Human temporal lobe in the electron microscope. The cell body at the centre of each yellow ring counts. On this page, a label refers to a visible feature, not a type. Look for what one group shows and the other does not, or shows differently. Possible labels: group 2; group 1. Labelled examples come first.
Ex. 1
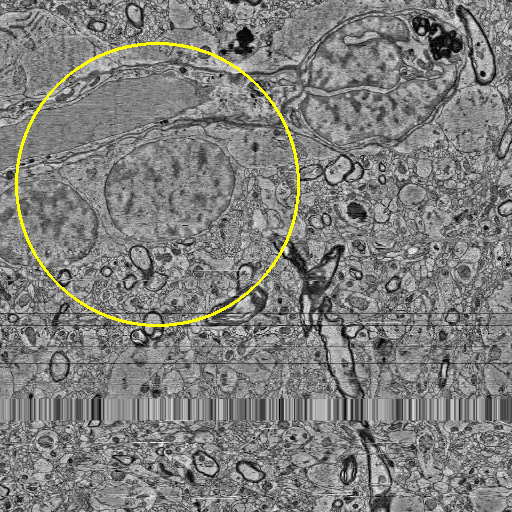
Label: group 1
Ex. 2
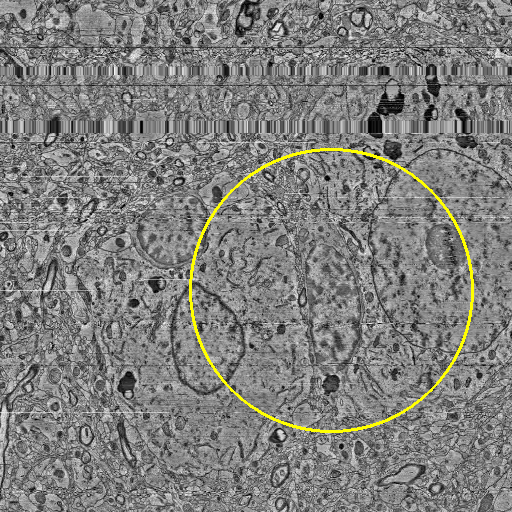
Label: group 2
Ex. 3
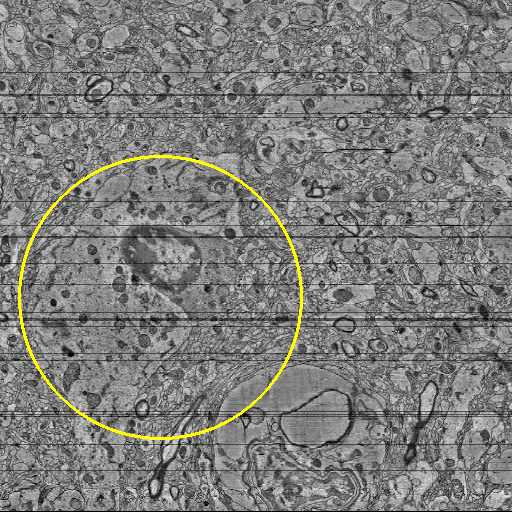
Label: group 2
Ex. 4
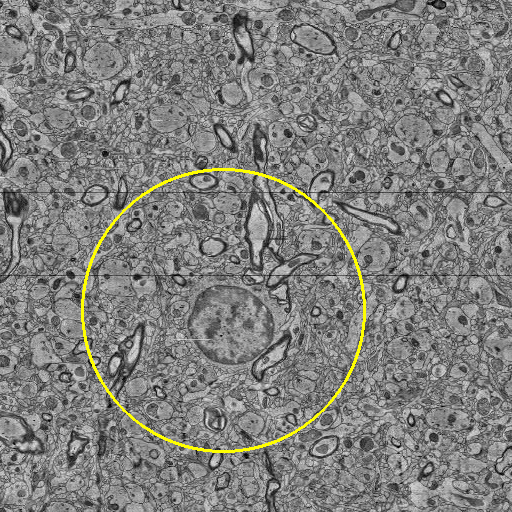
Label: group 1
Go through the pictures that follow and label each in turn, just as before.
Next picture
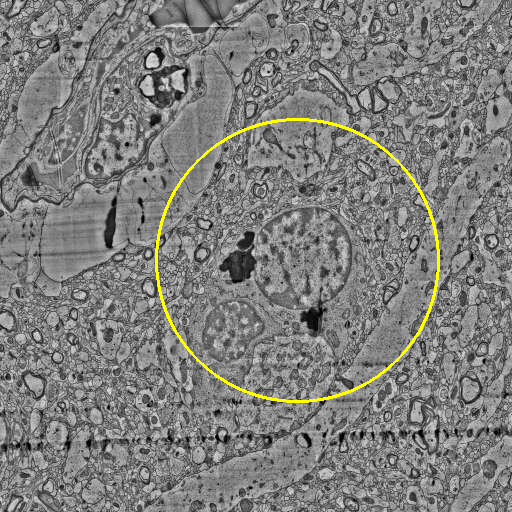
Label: group 1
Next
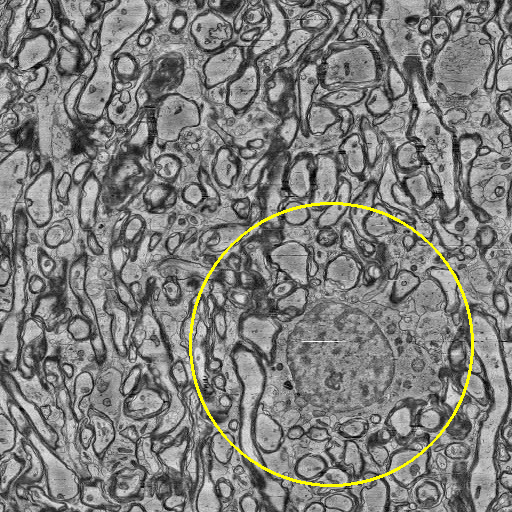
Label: group 1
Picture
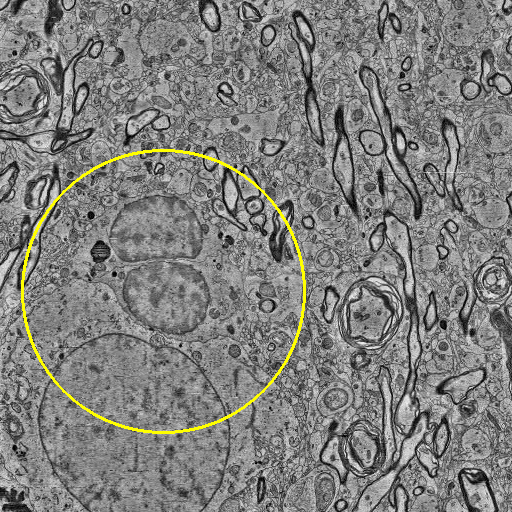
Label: group 1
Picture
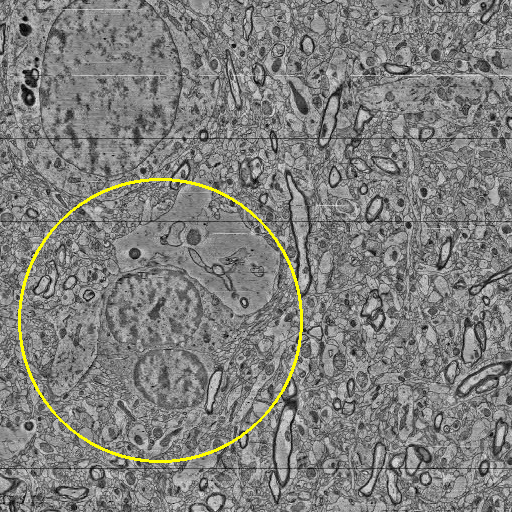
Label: group 1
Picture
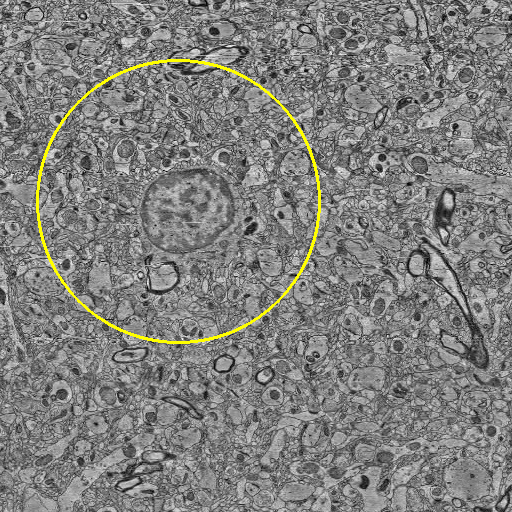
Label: group 1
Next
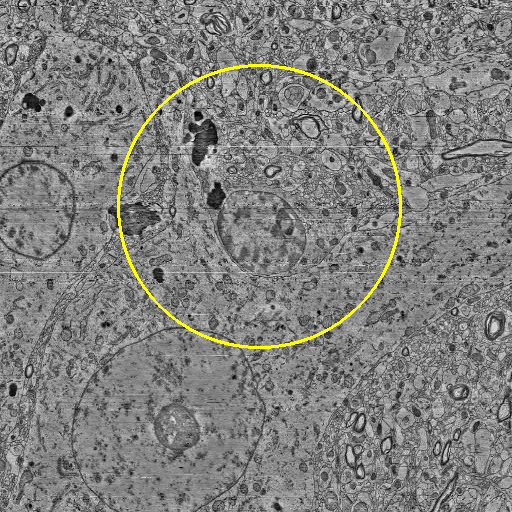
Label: group 1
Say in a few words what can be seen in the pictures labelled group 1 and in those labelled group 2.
In group 1: round or nearly round nuclei. In group 2: clearly elongated nuclei.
